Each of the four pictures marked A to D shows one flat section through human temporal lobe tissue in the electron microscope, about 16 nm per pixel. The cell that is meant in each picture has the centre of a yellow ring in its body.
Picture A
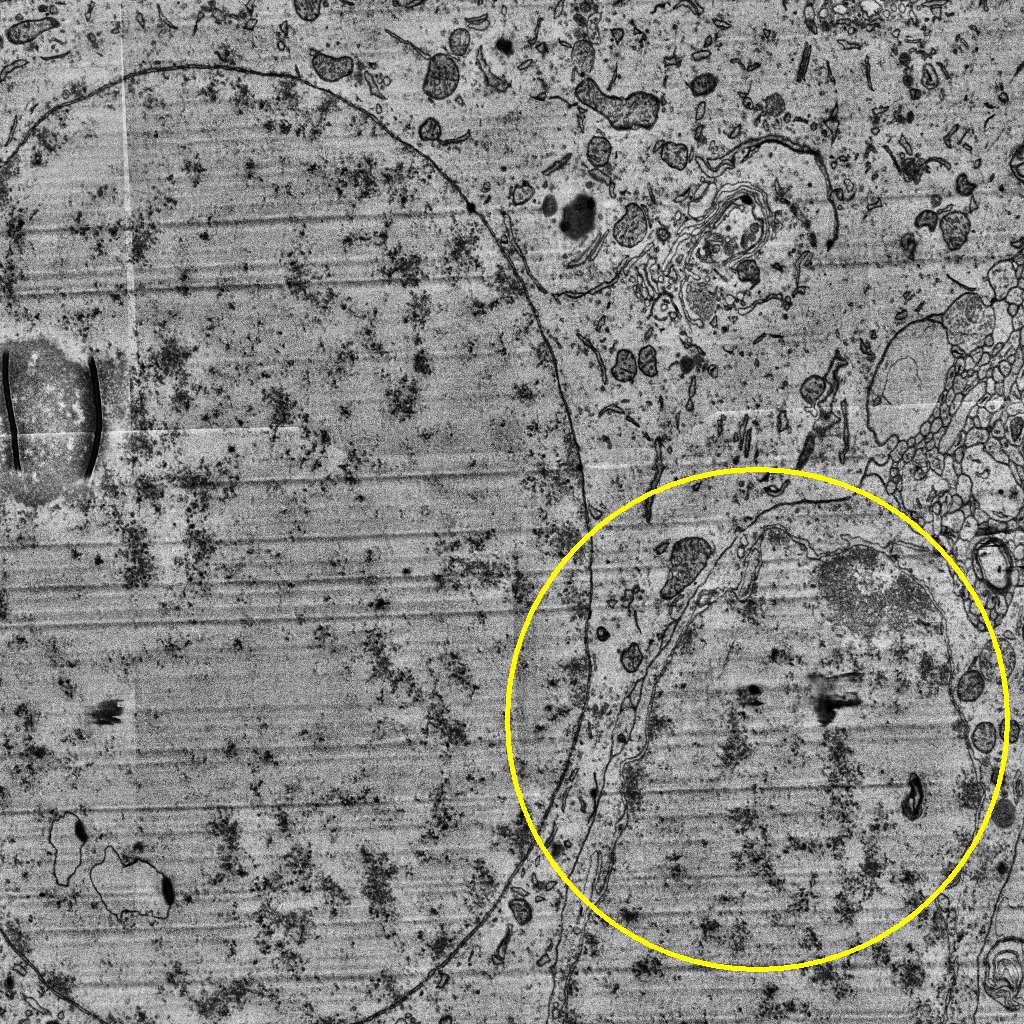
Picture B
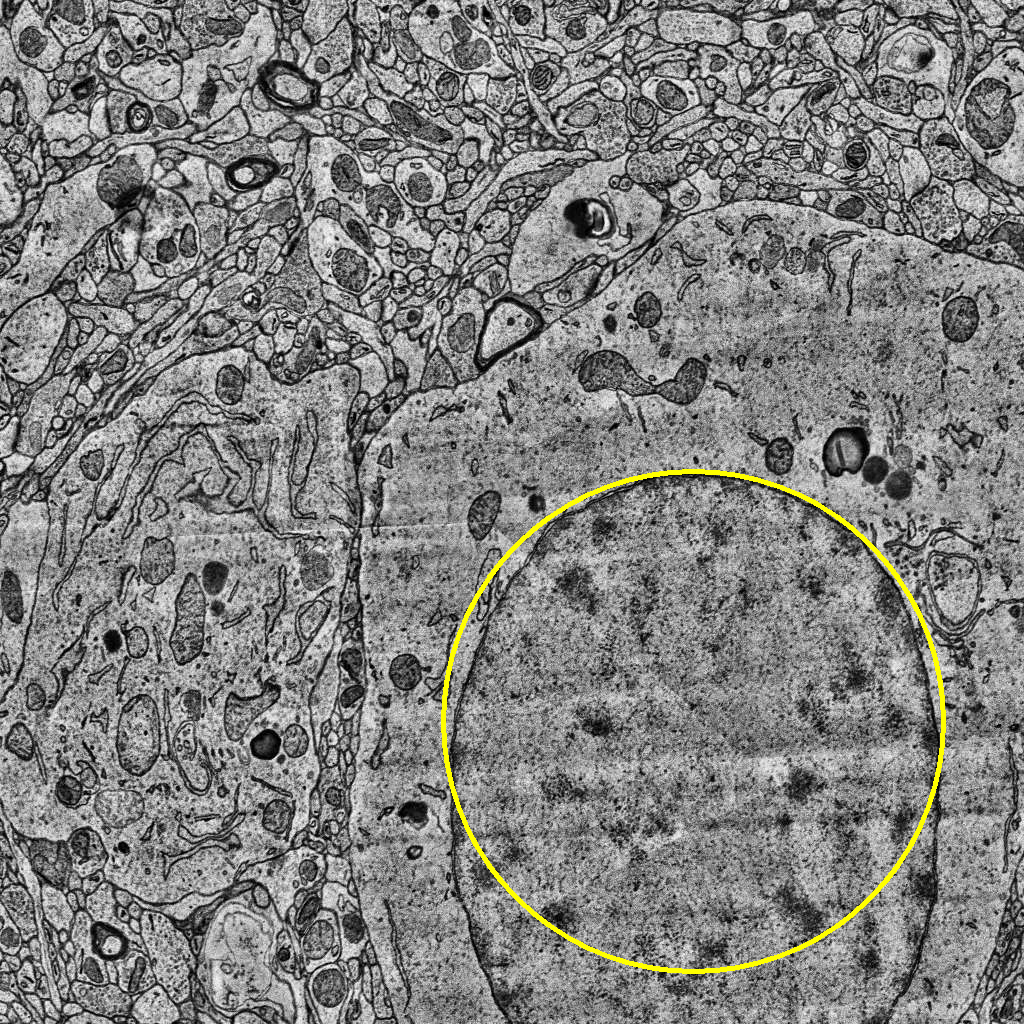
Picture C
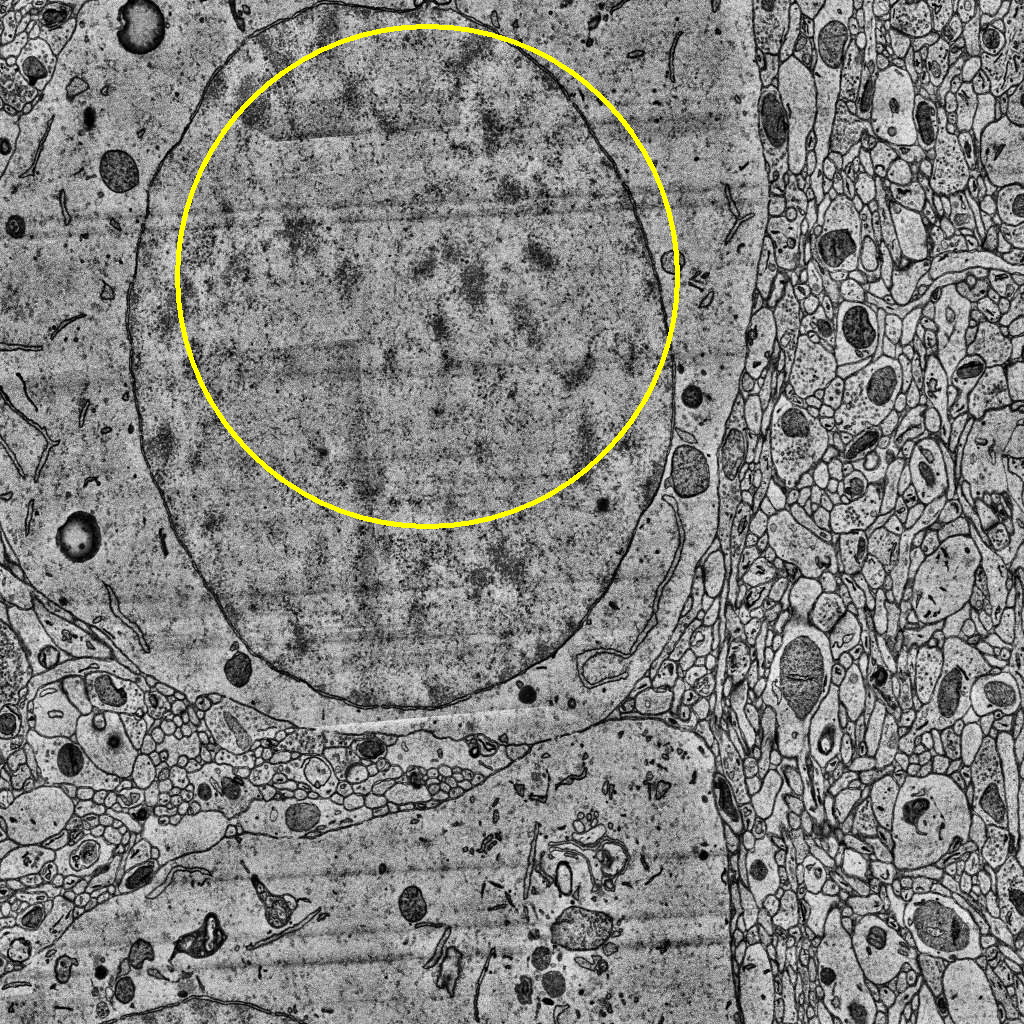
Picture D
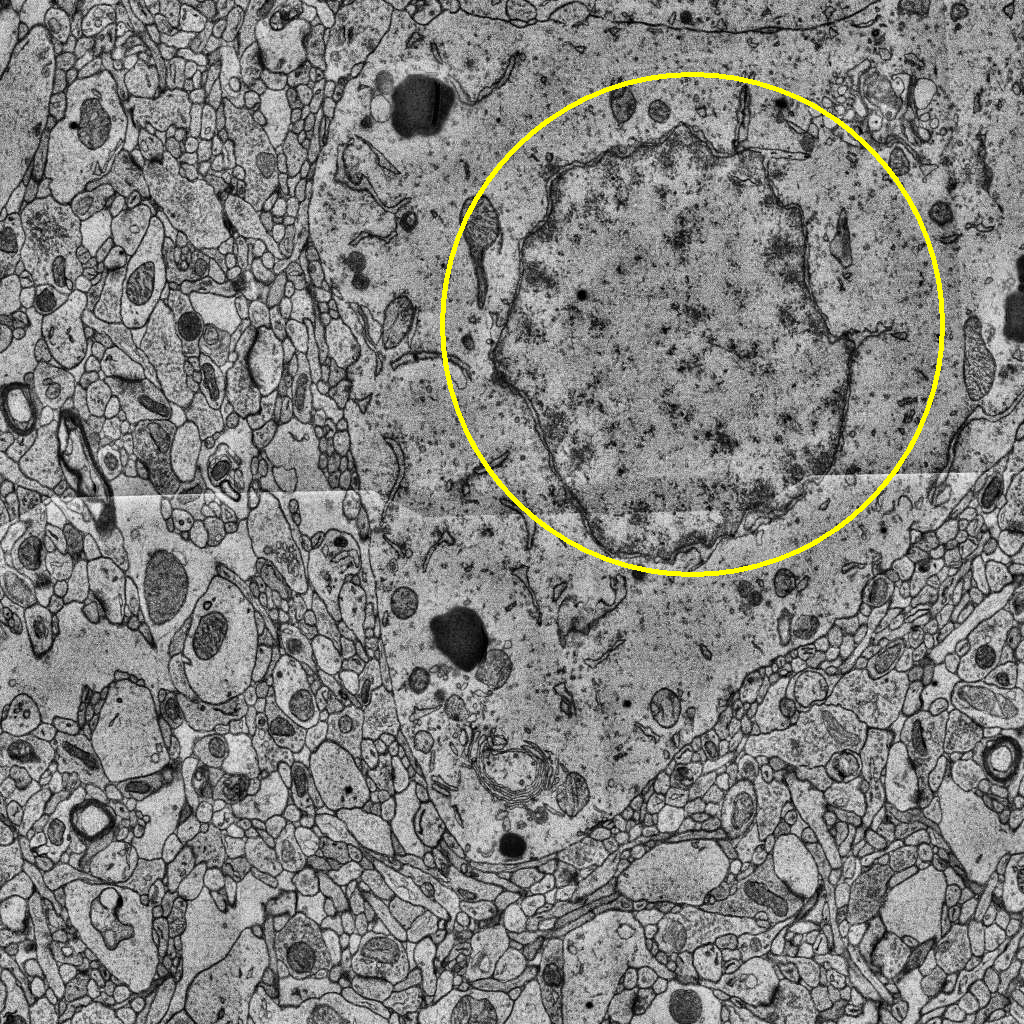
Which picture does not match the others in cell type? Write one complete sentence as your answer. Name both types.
All pictures except A show pyramidal neurons; picture A shows an interneuron.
